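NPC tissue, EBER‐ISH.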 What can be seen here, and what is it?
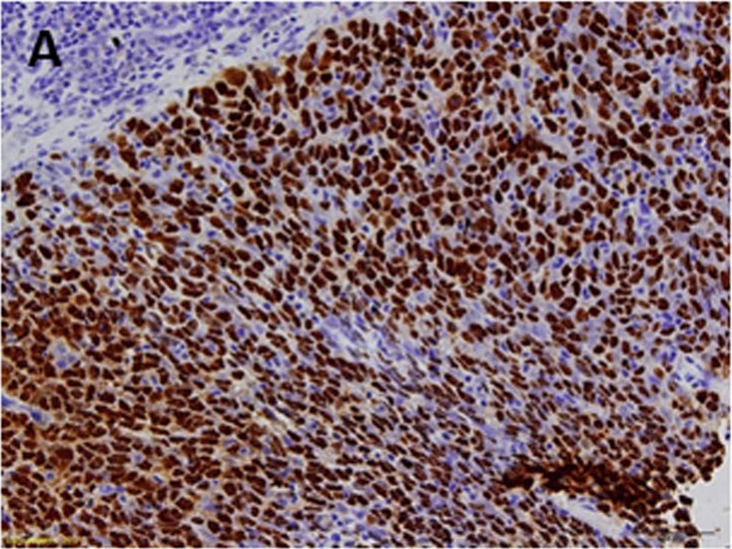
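A sheet of tumor cells with crowded, oval to elongated nuclei stained intensely dark brown fills most of the field. The nuclei are closely packed and somewhat overlapping, with little visible cytoplasm between them. Small, round, dense blue nuclei of lymphocytes lie in the loose pale stroma at the upper left and are scattered among the tumor cells, without brown staining. The border between the tumor sheet and the stroma is sharp.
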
